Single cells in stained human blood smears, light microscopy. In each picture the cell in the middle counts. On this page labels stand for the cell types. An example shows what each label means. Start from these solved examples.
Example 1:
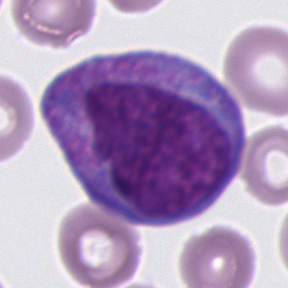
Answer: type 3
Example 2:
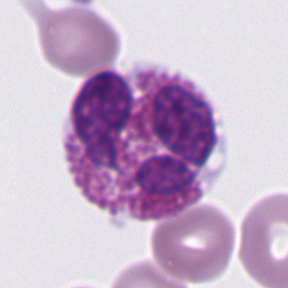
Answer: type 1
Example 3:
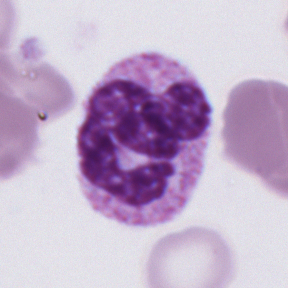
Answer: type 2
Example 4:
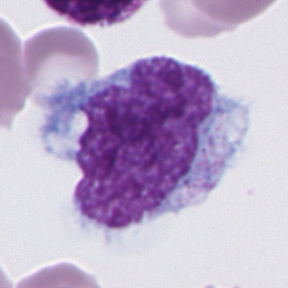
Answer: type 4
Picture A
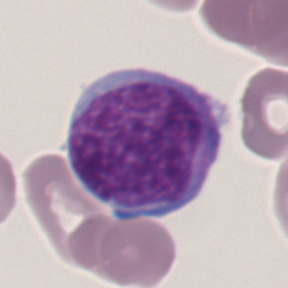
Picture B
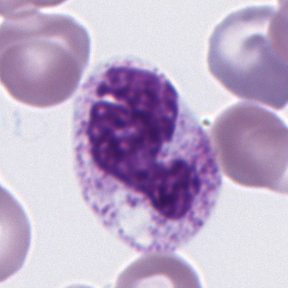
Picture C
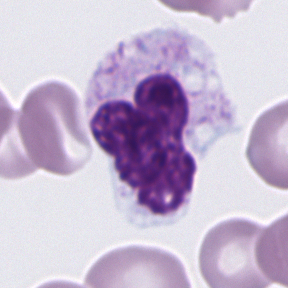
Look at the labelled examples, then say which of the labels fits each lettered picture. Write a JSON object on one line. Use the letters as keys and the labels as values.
{"A": "type 3", "B": "type 2", "C": "type 2"}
